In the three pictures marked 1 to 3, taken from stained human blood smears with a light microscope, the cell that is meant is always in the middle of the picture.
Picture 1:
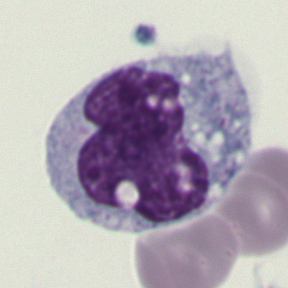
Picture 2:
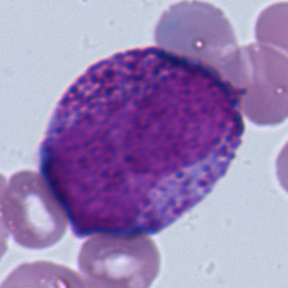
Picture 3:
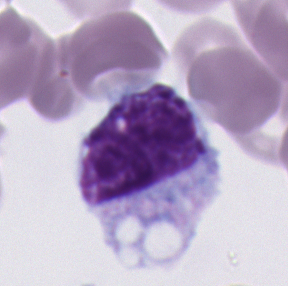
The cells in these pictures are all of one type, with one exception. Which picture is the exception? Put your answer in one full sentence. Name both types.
The others show monocytes, but picture 2 shows a promyelocyte.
